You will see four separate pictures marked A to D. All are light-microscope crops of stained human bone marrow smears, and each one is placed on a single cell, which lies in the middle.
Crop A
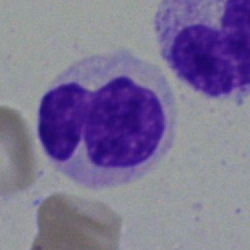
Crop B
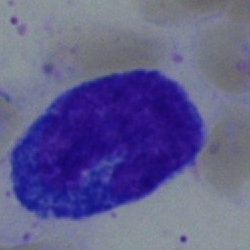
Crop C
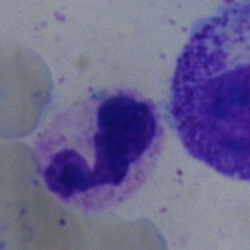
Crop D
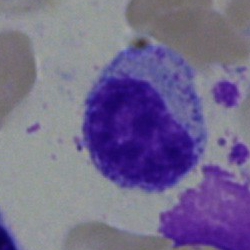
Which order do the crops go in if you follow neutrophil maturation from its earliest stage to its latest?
B, D, A, C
